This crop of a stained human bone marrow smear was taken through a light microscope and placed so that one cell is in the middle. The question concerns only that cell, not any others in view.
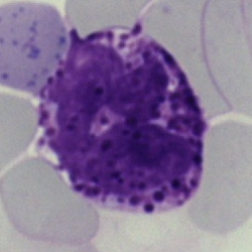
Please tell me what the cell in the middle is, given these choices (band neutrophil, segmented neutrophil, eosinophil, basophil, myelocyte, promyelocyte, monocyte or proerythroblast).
basophil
